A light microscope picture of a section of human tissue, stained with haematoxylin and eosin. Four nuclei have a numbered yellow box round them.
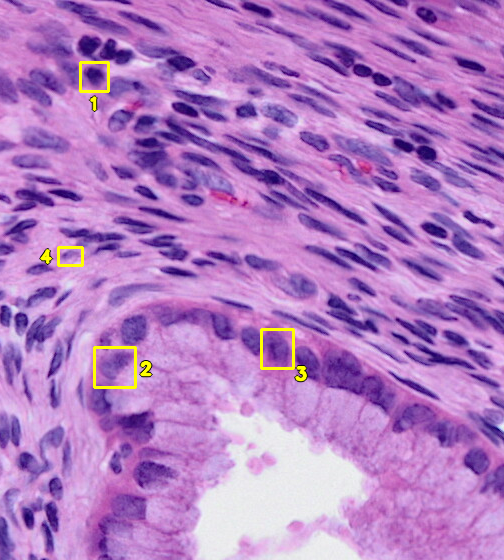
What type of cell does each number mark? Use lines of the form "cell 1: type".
cell 1: lymphocyte
cell 2: secretory epithelial cell
cell 3: secretory epithelial cell
cell 4: fibroblast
